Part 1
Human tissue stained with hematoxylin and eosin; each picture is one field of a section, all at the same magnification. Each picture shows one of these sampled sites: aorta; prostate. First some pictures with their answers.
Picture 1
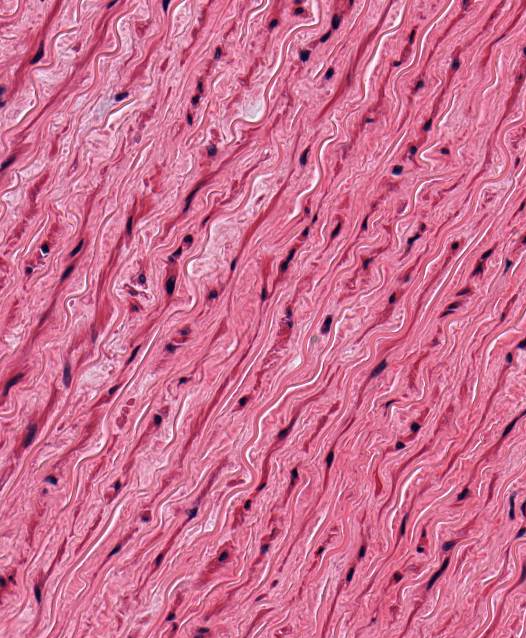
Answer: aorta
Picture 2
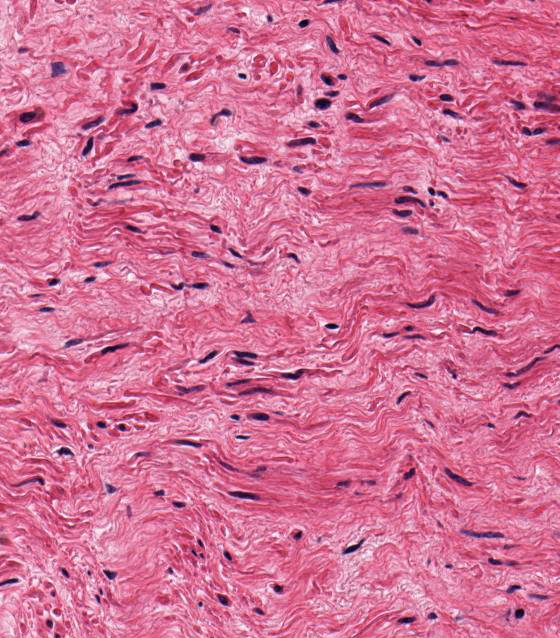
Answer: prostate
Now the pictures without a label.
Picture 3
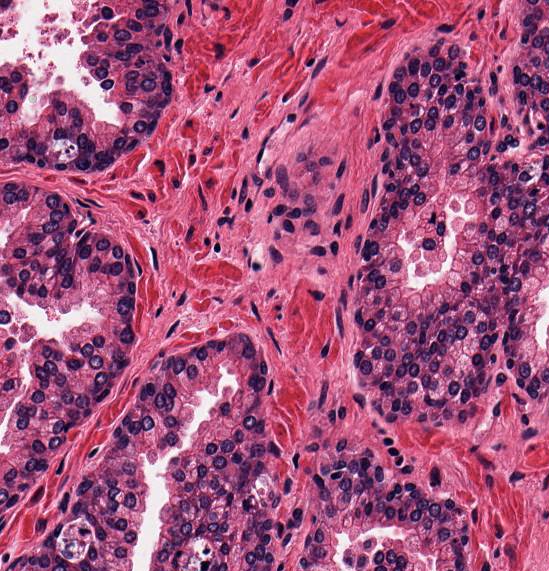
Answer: prostate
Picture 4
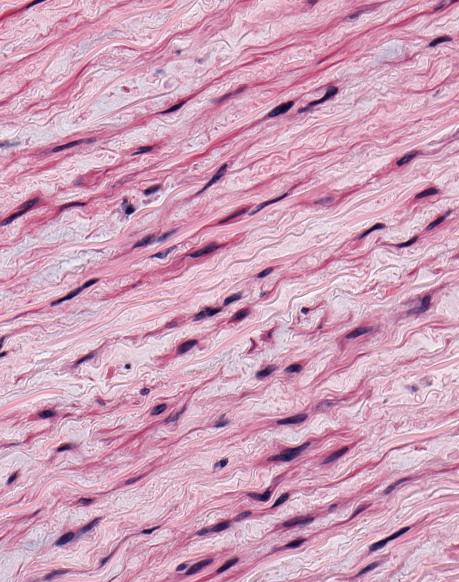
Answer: aorta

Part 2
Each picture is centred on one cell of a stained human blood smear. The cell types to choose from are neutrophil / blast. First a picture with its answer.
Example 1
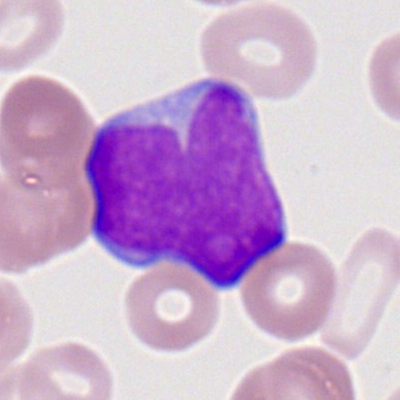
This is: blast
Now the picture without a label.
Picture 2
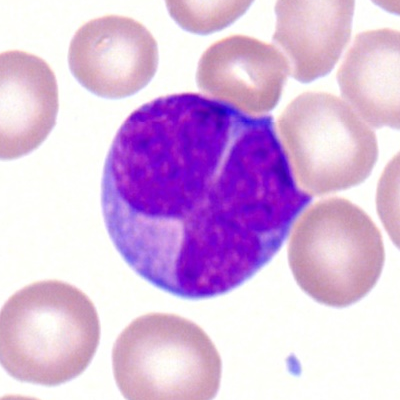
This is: blast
